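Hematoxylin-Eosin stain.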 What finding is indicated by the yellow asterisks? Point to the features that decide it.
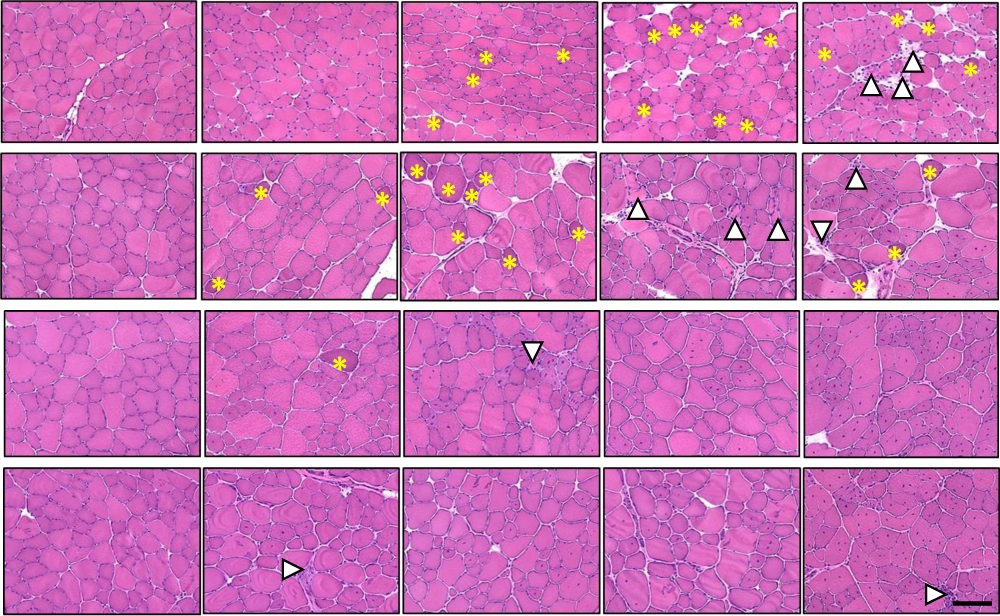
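The marked fibers are rounded and stain a deeper, more uniform pink than their neighbours. That points to this answer: opaque-fibers.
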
